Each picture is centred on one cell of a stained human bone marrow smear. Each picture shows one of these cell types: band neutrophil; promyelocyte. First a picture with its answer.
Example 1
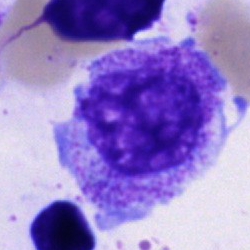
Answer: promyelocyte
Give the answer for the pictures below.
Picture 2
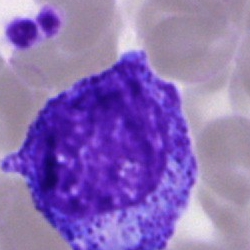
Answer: promyelocyte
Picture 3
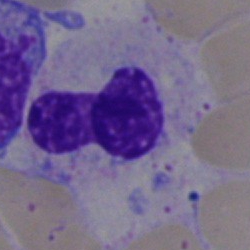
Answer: band neutrophil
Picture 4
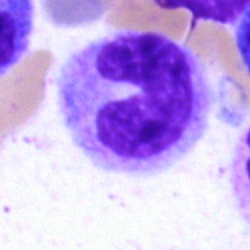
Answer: band neutrophil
